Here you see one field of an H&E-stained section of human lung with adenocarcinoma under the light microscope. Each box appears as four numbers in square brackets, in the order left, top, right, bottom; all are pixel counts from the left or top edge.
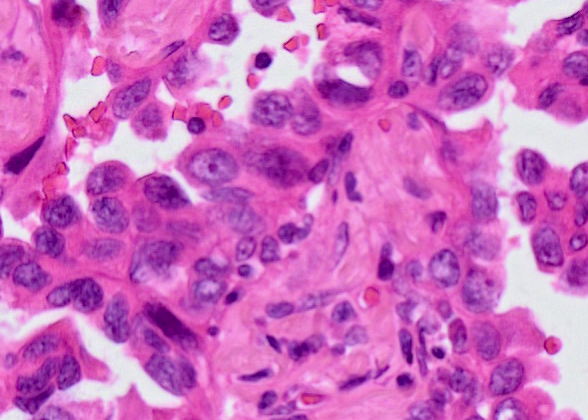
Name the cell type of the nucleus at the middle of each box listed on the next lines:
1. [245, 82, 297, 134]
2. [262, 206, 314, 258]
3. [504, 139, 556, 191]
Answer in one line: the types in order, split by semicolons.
carcinoma cell; lymphocyte; carcinoma cell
